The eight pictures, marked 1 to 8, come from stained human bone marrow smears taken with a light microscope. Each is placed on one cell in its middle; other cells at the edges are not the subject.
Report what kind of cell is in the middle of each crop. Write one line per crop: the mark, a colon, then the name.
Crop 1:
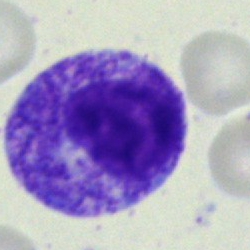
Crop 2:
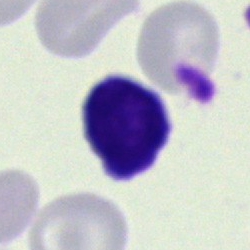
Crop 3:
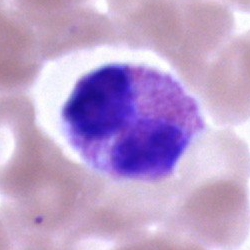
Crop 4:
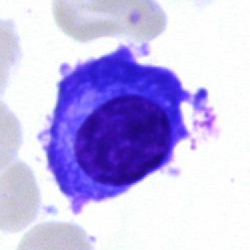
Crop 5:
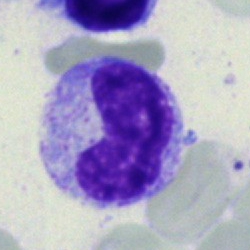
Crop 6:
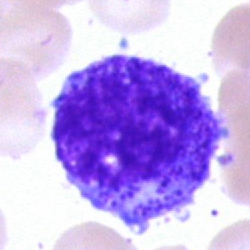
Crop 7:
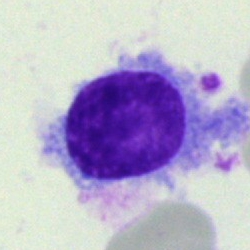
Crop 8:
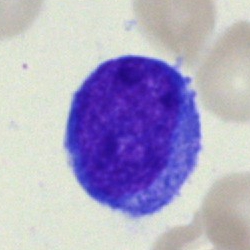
1: myelocyte
2: lymphocyte
3: eosinophil
4: plasma cell
5: band neutrophil
6: promyelocyte
7: hairy cell
8: blast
